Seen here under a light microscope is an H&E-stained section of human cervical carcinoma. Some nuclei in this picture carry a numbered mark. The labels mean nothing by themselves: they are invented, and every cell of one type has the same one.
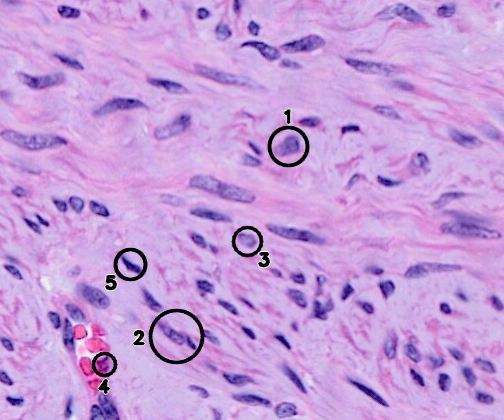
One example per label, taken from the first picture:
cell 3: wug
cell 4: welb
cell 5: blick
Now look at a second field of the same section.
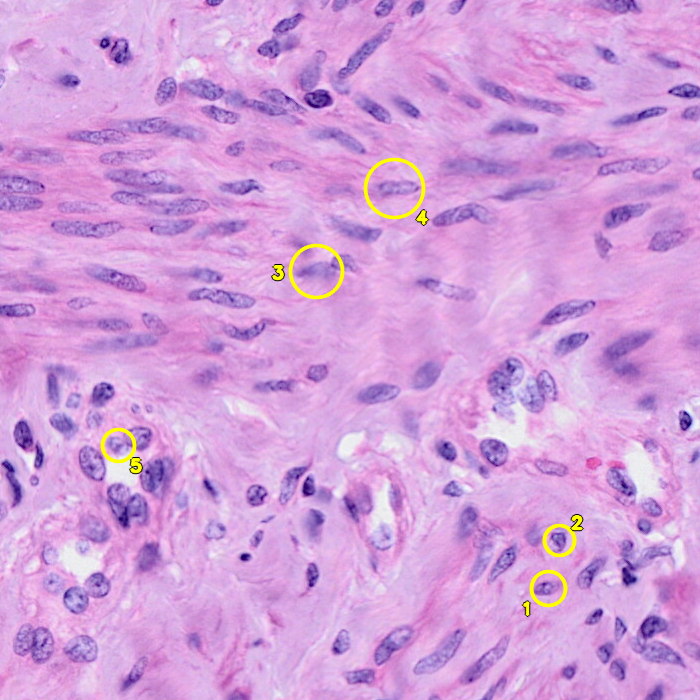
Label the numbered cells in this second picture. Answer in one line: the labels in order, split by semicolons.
wug; wug; blick; wug; welb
